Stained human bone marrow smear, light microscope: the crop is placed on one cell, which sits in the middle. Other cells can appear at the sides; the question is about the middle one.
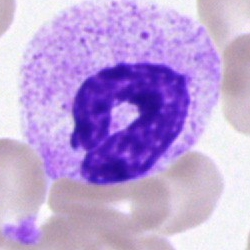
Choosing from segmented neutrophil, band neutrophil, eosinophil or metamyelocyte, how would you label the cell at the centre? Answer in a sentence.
At the middle of the frame sits a segmented neutrophil.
